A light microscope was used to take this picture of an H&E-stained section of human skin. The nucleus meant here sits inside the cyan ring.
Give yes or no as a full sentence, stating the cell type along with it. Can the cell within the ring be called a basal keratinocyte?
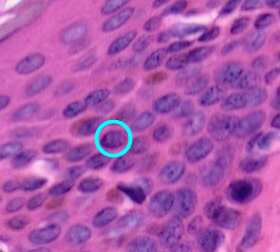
Yes, within this tissue section, the cell within the ring is a basal keratinocyte.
